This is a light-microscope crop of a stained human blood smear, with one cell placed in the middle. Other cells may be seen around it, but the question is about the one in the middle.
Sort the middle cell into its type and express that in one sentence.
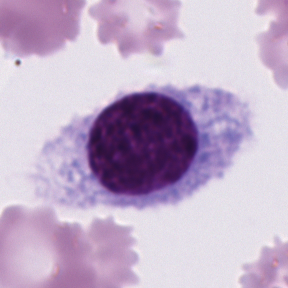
For this crop, the central cell is a hairy cell.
